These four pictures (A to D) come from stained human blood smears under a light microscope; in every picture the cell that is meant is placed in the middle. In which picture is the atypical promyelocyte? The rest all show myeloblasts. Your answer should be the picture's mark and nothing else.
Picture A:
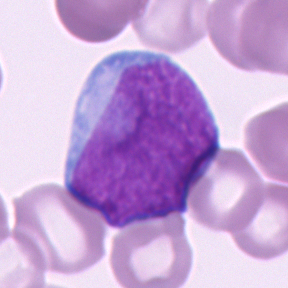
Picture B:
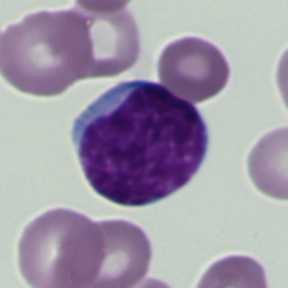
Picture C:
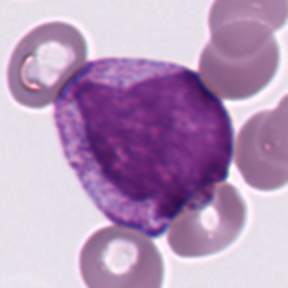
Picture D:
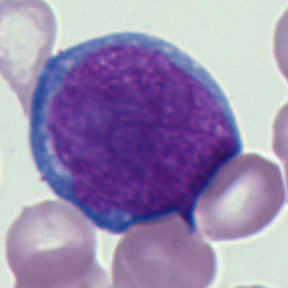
C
